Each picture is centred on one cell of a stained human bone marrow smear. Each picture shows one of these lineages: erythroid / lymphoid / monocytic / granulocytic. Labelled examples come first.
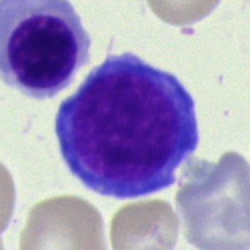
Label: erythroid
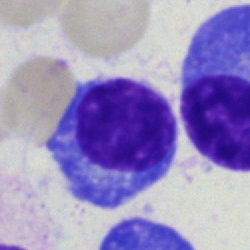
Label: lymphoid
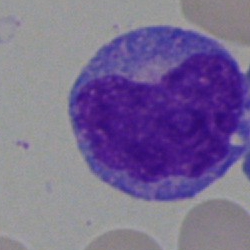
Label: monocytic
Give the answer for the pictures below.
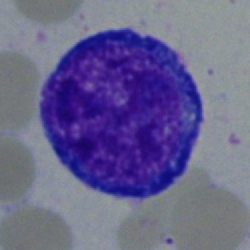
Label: erythroid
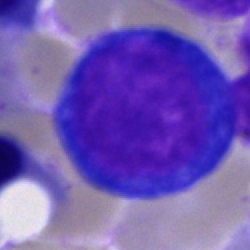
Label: erythroid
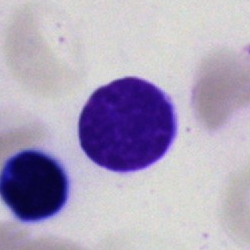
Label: lymphoid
